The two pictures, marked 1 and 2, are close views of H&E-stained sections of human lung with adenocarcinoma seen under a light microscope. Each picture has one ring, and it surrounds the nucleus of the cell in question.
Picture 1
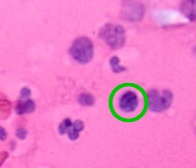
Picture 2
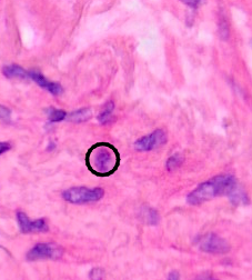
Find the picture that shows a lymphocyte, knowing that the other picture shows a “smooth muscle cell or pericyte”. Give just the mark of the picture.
1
